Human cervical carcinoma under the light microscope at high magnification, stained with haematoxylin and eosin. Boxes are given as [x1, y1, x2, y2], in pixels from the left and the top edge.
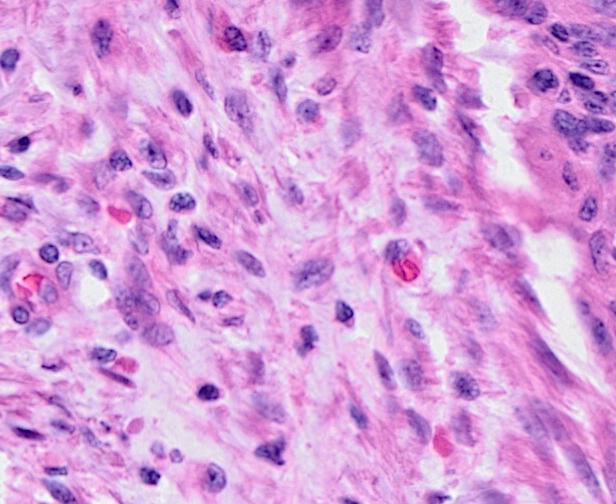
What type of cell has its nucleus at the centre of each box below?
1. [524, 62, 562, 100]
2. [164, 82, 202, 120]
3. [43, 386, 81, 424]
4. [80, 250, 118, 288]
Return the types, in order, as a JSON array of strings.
["squamous carcinoma cell", "lymphocyte", "fibroblast", "lymphocyte"]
